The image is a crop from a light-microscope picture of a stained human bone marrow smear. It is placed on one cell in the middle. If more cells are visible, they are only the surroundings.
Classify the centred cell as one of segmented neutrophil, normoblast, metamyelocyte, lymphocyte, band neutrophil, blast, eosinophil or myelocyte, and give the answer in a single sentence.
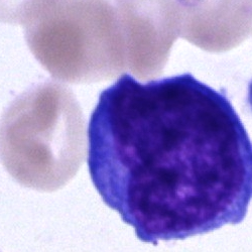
The cell at the middle of the frame should be recorded as a blast.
